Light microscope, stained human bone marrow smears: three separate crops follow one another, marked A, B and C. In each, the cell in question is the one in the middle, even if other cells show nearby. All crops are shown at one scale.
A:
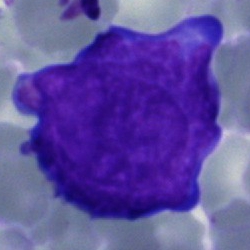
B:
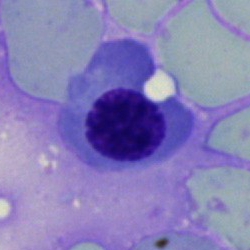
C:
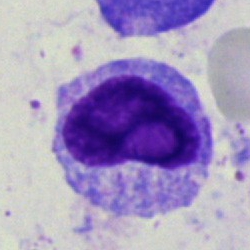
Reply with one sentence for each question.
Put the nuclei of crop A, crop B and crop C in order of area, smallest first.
From the smallest up, the order is B, C, A.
